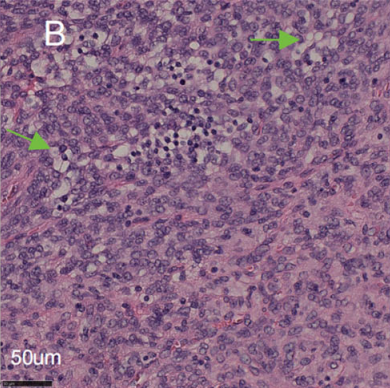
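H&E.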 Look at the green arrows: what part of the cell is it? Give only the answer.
Intracytoplasmic vacuoles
